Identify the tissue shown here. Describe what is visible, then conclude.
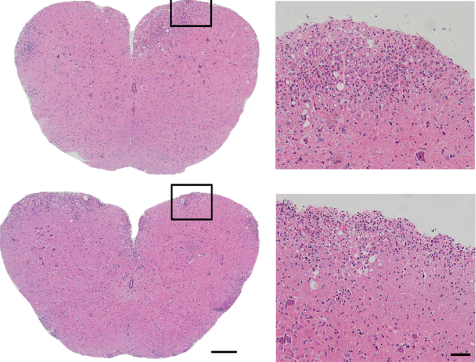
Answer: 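A narrow ventral median fissure and a dorsal midline divide the section into two symmetrical halves.
Spinal cord.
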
